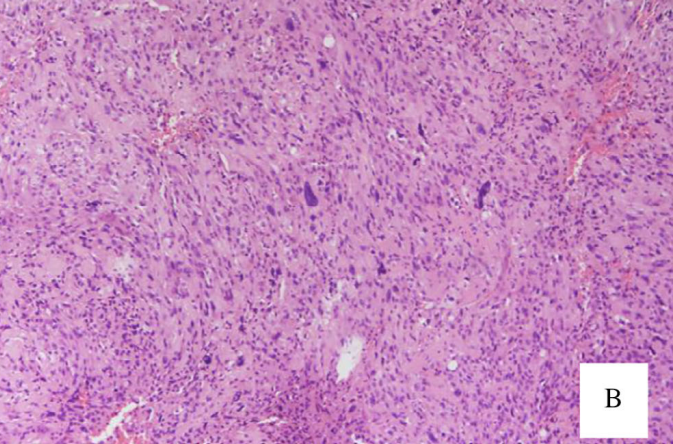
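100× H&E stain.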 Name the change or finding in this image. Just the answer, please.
Spindle growth arrangement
